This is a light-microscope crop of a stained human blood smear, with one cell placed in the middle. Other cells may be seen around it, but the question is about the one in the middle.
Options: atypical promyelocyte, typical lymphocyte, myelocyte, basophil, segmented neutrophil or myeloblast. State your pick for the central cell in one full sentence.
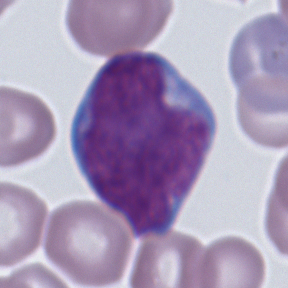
The central cell in this smear crop is a myeloblast.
